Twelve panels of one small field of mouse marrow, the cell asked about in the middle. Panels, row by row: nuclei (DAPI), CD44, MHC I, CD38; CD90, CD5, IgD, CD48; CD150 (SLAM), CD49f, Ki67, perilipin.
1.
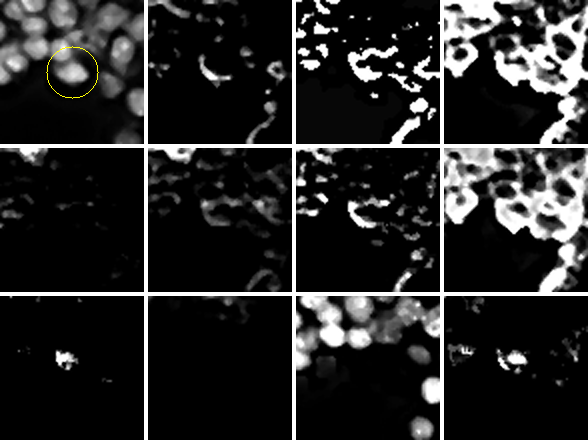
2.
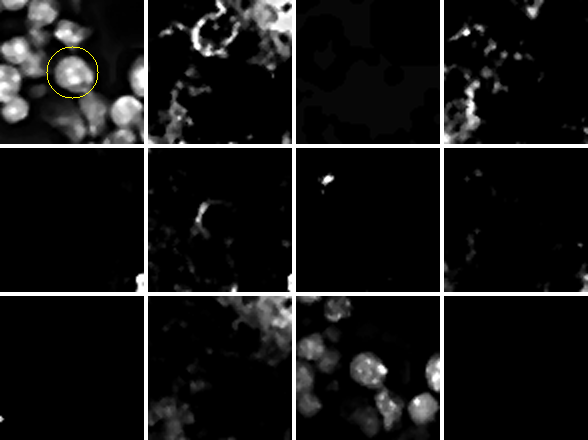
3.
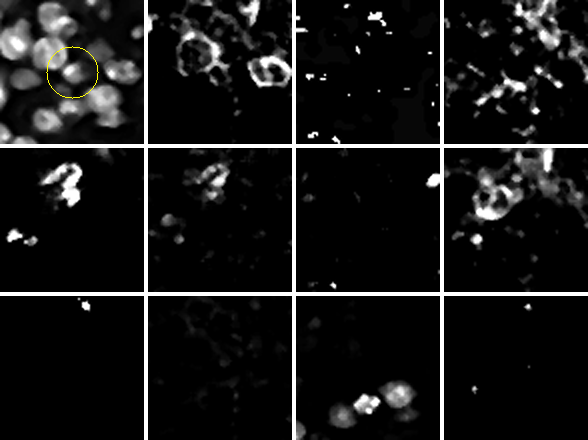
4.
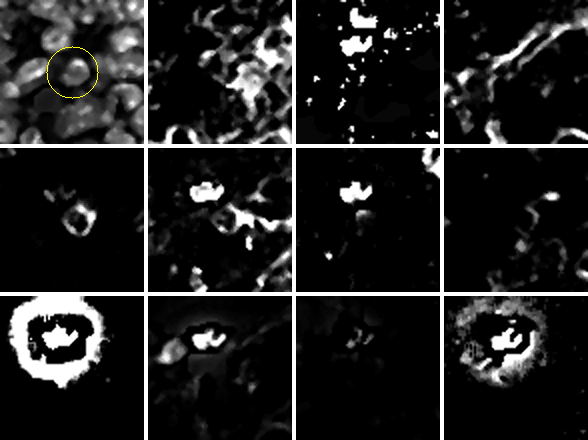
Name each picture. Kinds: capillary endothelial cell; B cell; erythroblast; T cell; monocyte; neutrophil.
(1) monocyte
(2) erythroblast
(3) neutrophil
(4) T cell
